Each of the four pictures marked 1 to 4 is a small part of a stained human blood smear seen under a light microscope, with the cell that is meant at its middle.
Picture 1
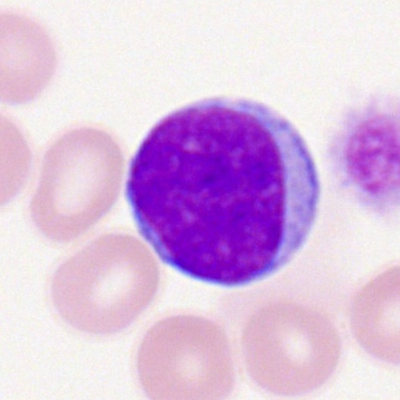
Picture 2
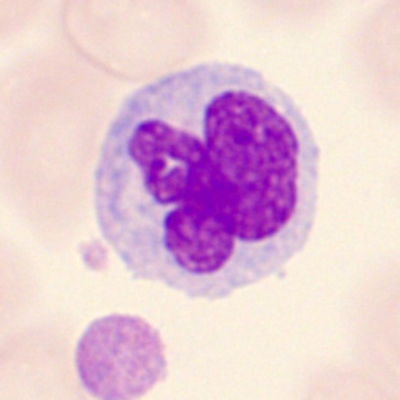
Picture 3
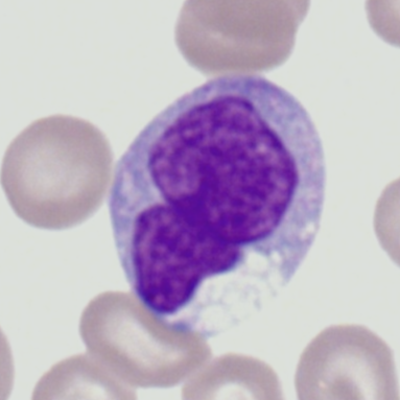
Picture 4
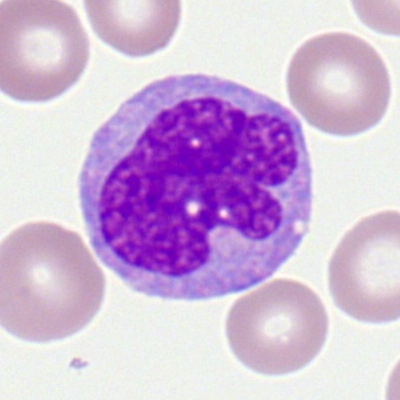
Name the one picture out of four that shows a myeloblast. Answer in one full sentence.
The picture with the myeloblast is 1.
